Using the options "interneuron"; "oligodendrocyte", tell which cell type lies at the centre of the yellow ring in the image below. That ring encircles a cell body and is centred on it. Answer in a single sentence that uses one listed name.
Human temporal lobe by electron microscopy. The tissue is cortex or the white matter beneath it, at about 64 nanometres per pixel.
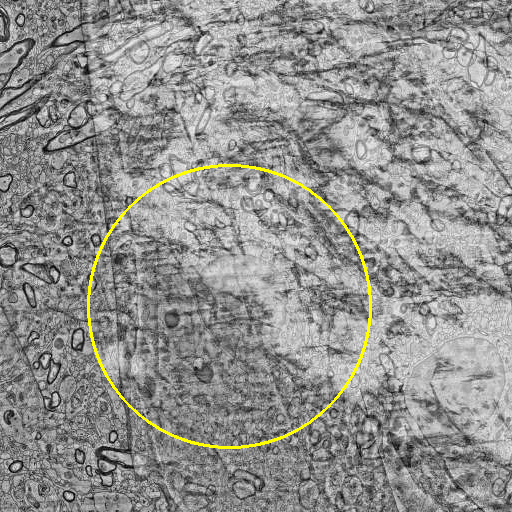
At the centre of the yellow ring lies the body of an oligodendrocyte.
